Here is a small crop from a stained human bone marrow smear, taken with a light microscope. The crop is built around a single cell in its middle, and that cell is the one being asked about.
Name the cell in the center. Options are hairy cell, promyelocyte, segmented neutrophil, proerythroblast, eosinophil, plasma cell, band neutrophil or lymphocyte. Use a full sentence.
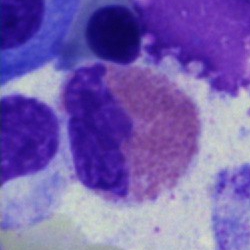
At the crop's centre, the cell is an eosinophil.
